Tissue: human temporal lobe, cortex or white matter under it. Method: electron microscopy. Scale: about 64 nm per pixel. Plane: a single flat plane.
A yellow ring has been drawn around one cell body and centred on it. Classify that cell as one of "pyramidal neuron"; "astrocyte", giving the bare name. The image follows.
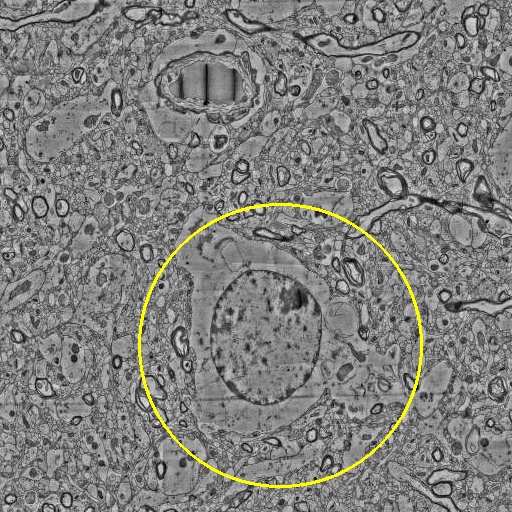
astrocyte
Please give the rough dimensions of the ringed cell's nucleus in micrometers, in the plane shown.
The nucleus measures about 9 by 7 micrometres in this plane.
